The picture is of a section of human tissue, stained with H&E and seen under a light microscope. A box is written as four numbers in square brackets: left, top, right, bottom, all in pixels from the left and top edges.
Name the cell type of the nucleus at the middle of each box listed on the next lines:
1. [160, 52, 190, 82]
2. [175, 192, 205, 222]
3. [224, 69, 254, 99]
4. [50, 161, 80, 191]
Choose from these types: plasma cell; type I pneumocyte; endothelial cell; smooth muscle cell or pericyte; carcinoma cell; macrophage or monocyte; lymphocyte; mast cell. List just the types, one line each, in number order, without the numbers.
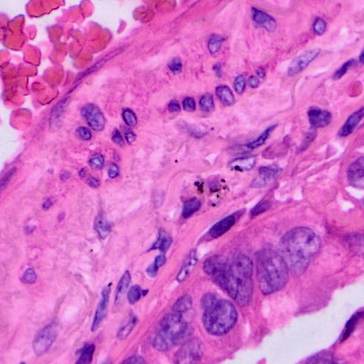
smooth muscle cell or pericyte
plasma cell
smooth muscle cell or pericyte
smooth muscle cell or pericyte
